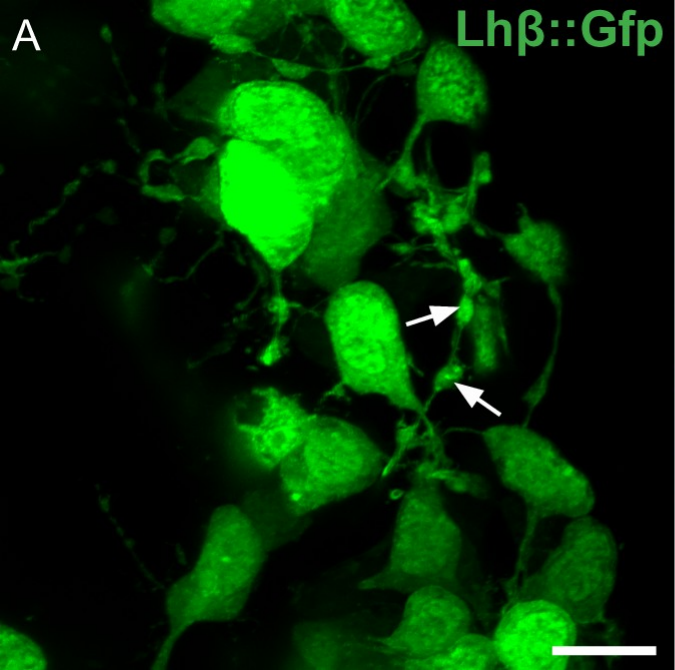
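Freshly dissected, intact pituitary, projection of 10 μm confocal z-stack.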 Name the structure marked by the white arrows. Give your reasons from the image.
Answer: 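The arrows point to small round bulges along thin green processes. The bulges are wider than the thin threads on either side of them.
Conclusion: swellings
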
